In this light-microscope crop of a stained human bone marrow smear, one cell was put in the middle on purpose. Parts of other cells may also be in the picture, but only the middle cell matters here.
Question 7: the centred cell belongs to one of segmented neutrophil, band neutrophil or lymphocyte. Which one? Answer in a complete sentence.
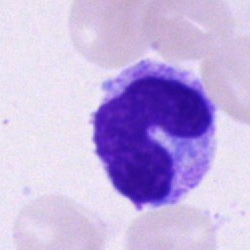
The cell sitting right in the middle is a band neutrophil.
